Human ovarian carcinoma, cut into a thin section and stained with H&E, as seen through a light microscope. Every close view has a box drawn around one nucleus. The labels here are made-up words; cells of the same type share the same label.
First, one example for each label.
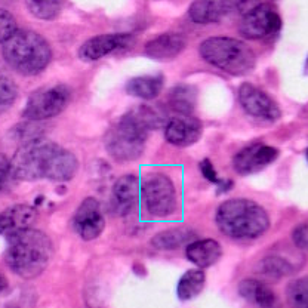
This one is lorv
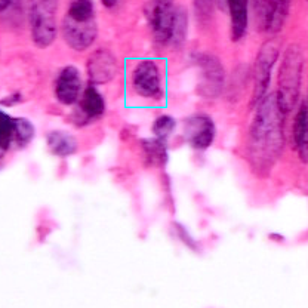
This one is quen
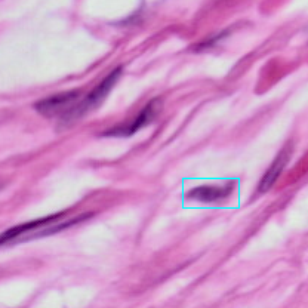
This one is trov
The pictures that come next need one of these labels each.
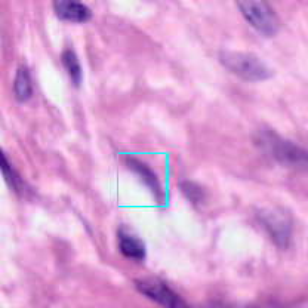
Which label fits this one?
trov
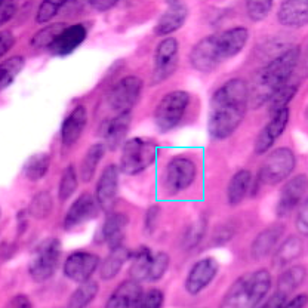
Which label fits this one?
quen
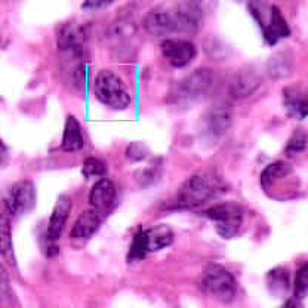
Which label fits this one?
quen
